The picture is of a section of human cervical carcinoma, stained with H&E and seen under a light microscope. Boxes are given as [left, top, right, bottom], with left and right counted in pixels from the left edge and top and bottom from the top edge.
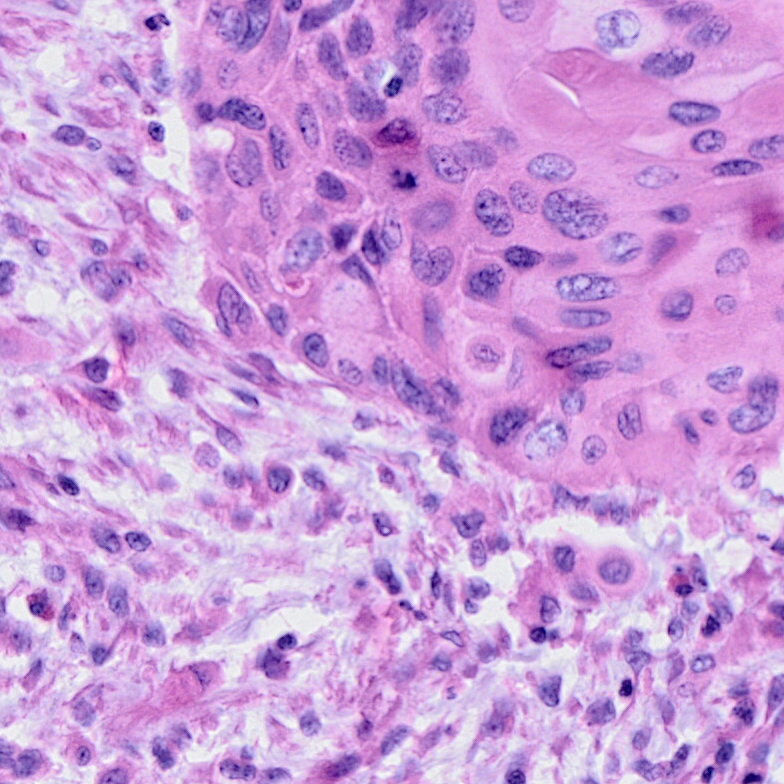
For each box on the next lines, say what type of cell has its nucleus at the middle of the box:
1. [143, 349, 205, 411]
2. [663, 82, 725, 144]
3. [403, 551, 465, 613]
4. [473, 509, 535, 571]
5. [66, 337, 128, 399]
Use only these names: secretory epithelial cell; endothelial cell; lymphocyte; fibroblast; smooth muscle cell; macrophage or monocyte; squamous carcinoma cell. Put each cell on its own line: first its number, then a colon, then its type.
1: fibroblast
2: squamous carcinoma cell
3: fibroblast
4: fibroblast
5: macrophage or monocyte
